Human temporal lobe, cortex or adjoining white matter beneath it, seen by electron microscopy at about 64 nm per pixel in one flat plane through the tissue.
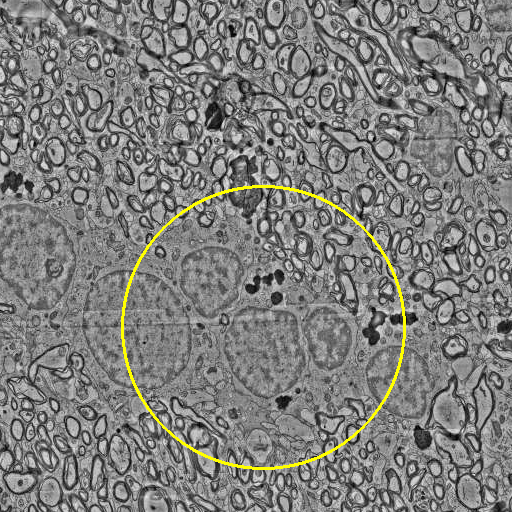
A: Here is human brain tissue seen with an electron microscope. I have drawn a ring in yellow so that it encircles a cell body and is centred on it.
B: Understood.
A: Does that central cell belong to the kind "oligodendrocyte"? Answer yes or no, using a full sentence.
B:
Yes, the central cell inside your yellow ring belongs to that kind.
